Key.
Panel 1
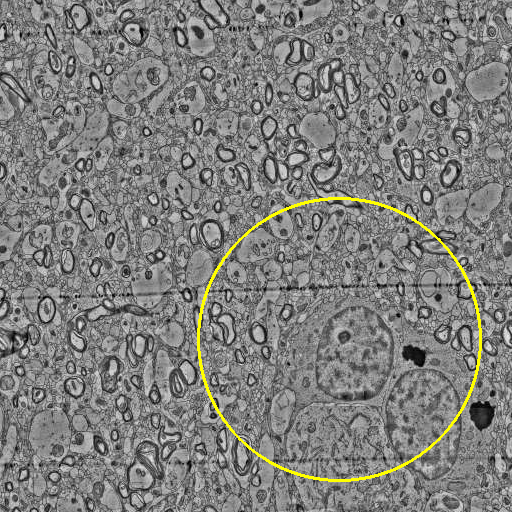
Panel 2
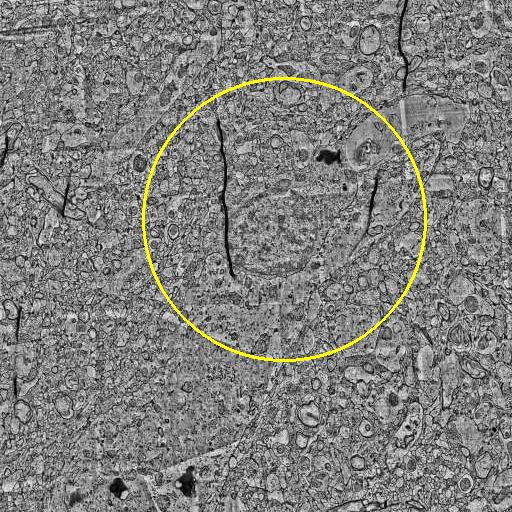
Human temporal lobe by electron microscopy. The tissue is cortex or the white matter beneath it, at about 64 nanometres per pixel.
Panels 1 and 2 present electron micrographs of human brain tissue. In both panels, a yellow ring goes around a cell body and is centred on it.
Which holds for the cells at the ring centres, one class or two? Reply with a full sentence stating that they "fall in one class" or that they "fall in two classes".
Taken together, the ring-centre cells of the two panels fall in one class.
